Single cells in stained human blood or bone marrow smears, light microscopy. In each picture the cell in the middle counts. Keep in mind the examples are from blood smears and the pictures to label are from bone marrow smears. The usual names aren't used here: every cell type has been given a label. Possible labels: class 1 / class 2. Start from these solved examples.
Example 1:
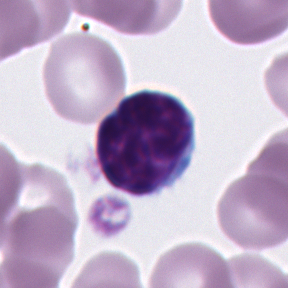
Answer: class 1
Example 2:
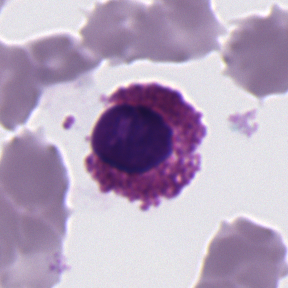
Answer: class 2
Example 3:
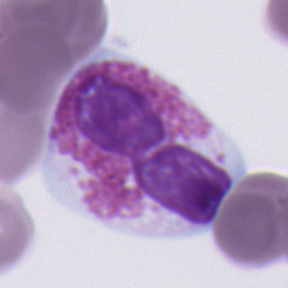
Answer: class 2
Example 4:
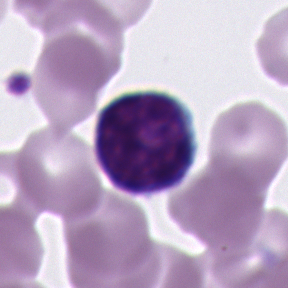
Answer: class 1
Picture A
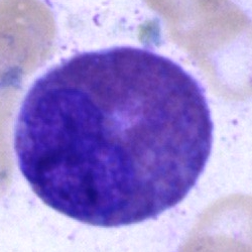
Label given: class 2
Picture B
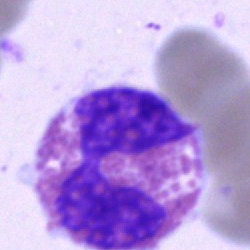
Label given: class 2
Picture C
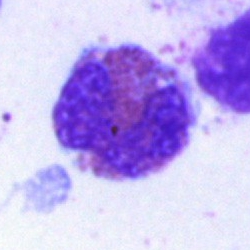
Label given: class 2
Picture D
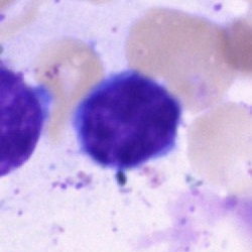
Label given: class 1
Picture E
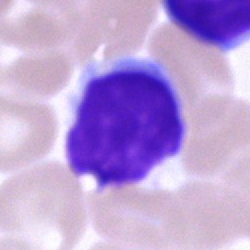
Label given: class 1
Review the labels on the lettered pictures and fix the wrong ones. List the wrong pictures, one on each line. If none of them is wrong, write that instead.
No label is wrong.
